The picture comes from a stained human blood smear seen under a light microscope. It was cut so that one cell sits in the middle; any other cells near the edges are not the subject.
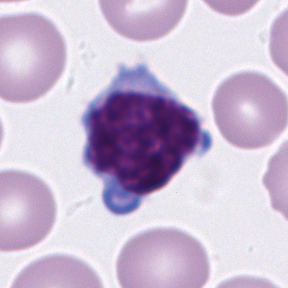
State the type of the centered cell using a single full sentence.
The cell that lies at the centre of the crop is a typical lymphocyte.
